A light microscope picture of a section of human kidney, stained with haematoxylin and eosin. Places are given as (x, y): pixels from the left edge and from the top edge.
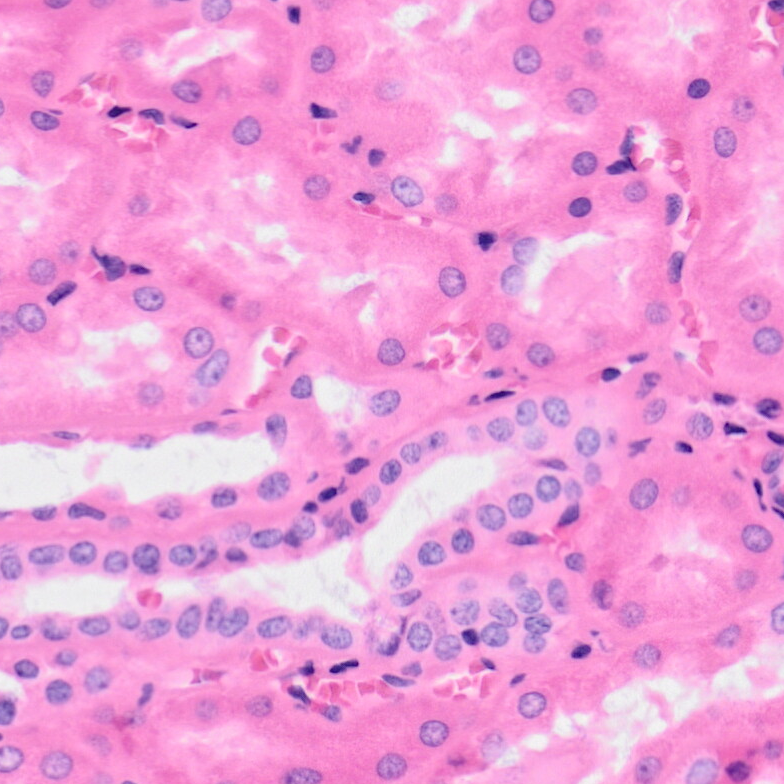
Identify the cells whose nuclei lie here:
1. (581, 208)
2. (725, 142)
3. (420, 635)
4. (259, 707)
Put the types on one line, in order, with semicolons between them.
proximal tubule cell; proximal tubule cell; collecting duct cell; proximal tubule cell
